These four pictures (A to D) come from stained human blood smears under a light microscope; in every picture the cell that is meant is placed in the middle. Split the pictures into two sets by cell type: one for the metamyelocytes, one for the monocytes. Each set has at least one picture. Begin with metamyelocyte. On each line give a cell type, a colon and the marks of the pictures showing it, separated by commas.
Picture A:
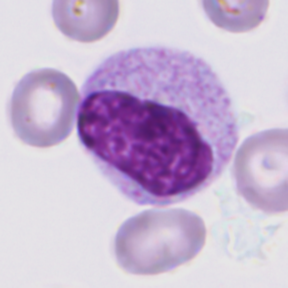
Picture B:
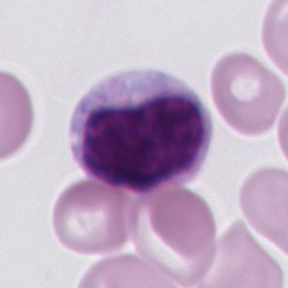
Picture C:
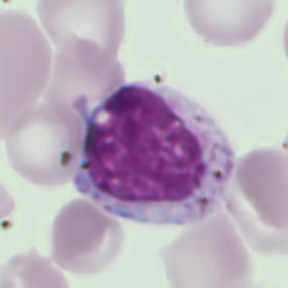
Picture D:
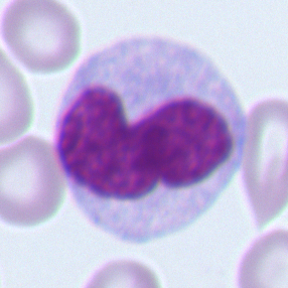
metamyelocyte: A, B, C
monocyte: D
